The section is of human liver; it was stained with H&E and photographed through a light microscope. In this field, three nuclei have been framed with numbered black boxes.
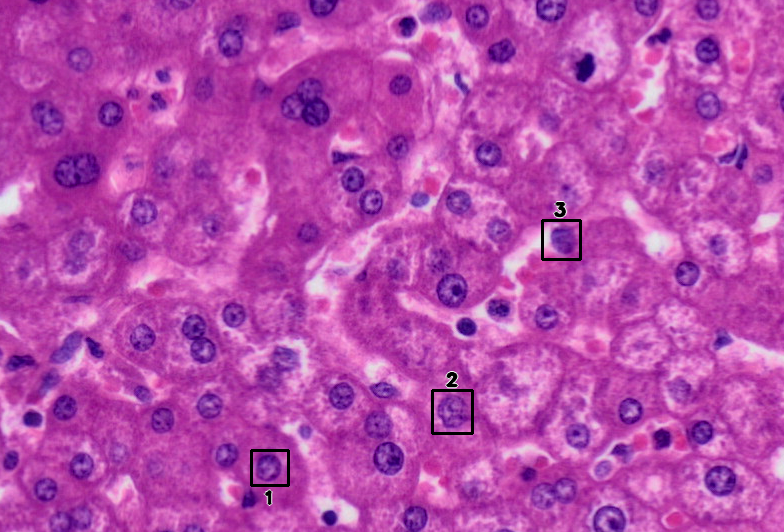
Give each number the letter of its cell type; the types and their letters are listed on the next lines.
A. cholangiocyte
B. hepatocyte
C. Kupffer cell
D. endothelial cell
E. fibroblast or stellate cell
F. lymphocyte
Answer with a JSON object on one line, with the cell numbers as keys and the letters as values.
{"1": "B", "2": "B", "3": "D"}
